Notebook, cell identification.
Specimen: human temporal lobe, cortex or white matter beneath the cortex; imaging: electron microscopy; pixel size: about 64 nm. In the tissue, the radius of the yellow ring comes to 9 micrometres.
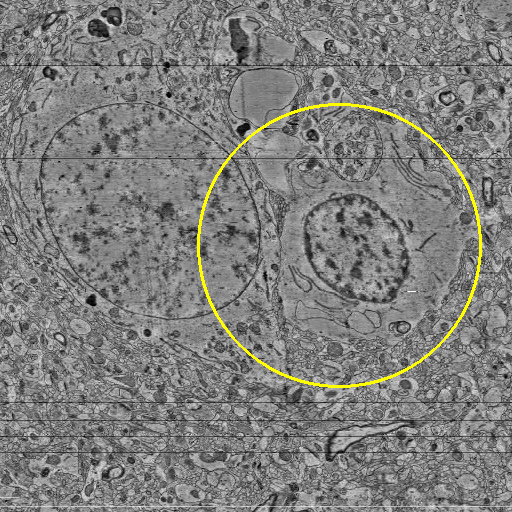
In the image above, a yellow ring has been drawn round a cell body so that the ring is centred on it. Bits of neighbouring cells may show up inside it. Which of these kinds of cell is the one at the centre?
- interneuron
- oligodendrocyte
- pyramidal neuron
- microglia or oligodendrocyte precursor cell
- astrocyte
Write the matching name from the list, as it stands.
astrocyte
